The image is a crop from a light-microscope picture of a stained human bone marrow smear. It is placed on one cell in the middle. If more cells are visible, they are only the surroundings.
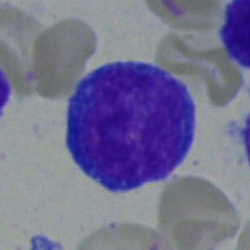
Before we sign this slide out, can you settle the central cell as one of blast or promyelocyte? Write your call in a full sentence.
The cell at the central position in this crop is a blast.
